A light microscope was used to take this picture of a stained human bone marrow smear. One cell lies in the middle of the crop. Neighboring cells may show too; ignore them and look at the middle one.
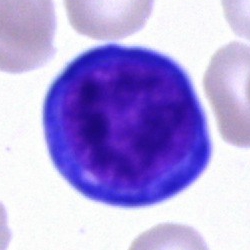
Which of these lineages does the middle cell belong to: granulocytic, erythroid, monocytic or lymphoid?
erythroid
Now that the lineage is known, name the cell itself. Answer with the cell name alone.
proerythroblast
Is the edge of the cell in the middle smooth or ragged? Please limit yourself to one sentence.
Nothing juts out from the margin, which is smooth throughout.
